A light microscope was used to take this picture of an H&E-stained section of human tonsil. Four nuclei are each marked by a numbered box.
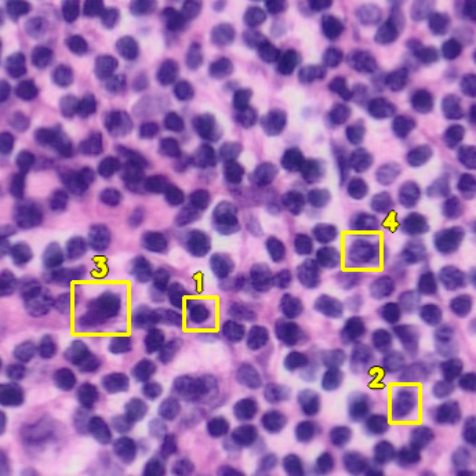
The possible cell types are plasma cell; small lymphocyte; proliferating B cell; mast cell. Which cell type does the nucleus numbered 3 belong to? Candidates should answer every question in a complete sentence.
The cell that is numbered 3 is a proliferating B cell.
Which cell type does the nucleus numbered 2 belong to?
The cell referred to as 2 is a small lymphocyte.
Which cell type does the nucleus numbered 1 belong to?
Among the marked cells, number 1 is a small lymphocyte.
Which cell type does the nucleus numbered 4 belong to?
The correct label for cell 4 is a small lymphocyte.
